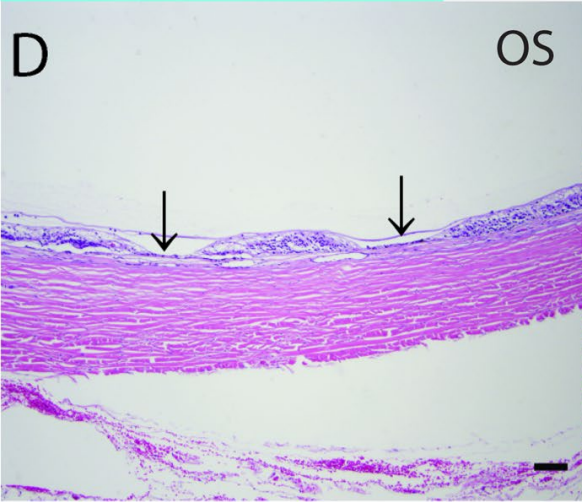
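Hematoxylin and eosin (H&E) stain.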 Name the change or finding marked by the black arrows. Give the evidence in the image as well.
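The retina on top of the thick pink sclera is very thin. At the arrows the retina is reduced to a thin line without cell layers. The answer: retinal atrophy.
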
